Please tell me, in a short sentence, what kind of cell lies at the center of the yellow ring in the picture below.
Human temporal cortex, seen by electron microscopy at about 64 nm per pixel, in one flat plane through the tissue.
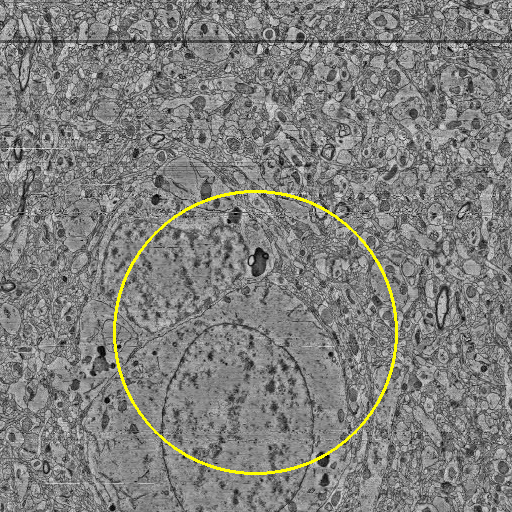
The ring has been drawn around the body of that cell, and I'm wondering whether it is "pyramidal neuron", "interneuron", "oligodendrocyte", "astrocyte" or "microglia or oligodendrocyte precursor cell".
The cell at the center of the ring is a pyramidal neuron.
